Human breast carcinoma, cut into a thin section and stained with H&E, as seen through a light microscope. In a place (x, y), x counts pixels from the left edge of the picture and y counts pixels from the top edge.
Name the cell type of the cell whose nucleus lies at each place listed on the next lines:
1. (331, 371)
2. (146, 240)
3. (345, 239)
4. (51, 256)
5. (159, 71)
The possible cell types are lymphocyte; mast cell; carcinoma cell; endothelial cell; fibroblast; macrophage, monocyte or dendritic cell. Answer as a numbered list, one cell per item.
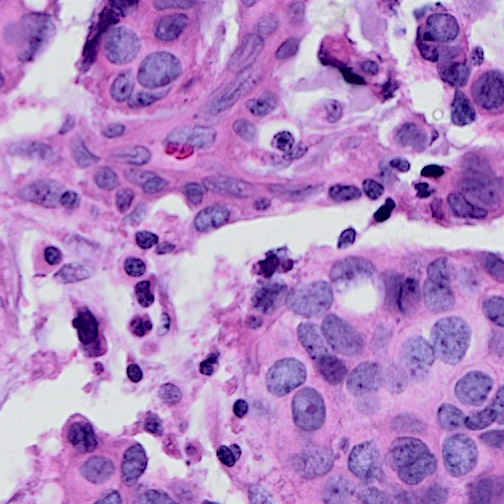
1. carcinoma cell
2. lymphocyte
3. lymphocyte
4. mast cell
5. carcinoma cell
